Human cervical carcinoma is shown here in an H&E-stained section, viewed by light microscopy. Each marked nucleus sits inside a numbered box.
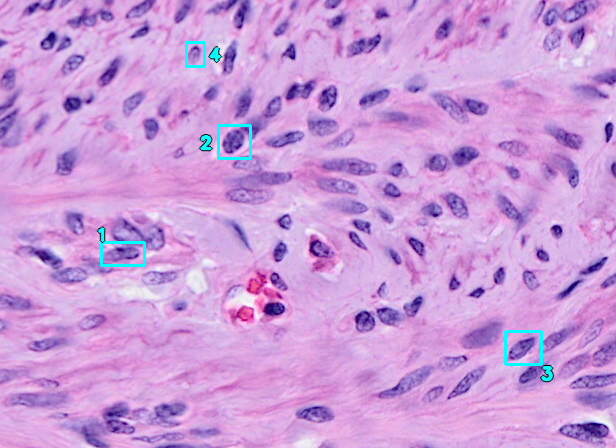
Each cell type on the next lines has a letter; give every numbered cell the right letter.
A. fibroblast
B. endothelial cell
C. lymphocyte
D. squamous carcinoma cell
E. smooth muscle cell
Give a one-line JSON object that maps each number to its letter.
{"1": "B", "2": "C", "3": "A", "4": "E"}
